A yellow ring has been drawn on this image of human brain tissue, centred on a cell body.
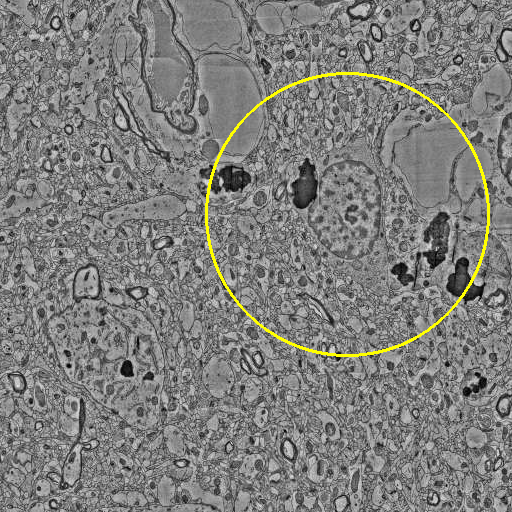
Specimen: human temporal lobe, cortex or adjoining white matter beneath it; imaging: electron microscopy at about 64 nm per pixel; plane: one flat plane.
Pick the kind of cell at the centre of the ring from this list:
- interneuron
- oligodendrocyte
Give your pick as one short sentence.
The centre of the ring holds an oligodendrocyte.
